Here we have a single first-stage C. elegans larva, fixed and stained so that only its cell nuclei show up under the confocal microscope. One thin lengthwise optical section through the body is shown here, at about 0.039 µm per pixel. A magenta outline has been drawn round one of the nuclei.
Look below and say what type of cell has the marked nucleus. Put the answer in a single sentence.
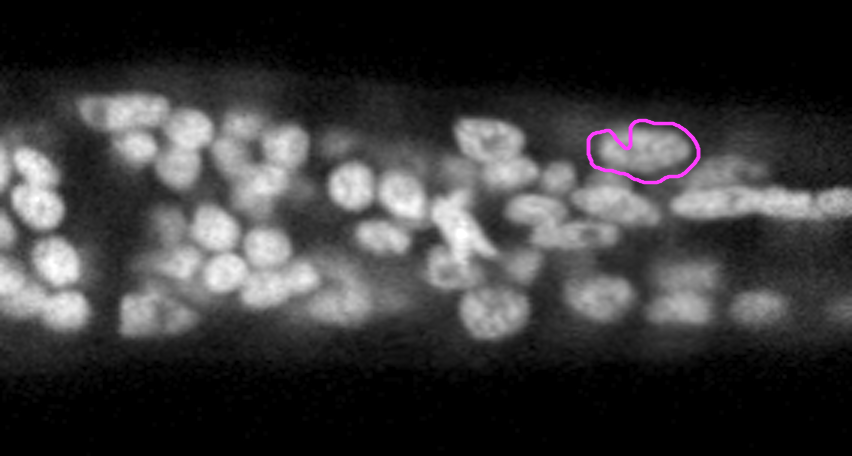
This is the nucleus of a body wall muscle cell.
